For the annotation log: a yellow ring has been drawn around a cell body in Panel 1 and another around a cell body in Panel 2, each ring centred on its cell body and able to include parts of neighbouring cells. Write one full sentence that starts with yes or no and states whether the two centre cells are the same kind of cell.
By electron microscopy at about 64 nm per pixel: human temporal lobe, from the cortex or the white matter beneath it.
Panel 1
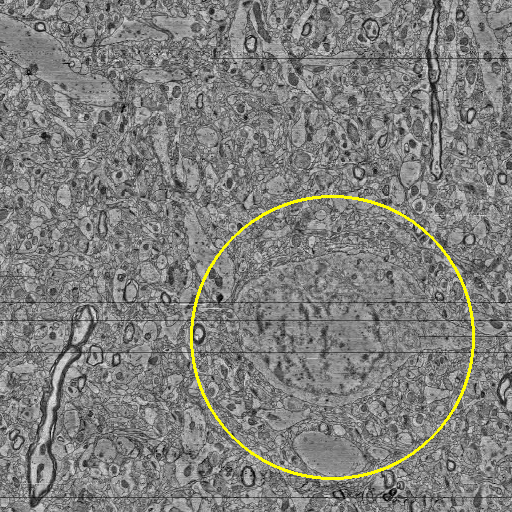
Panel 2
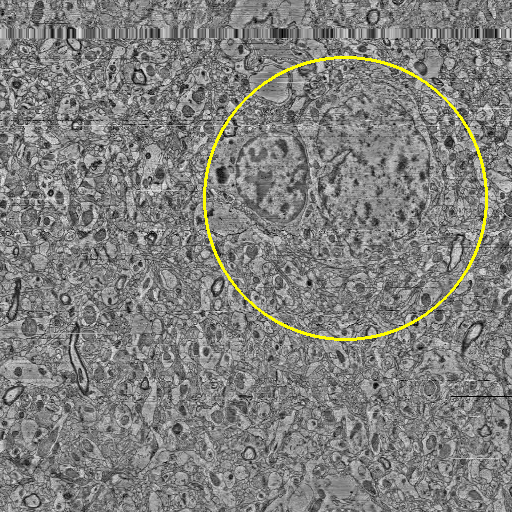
Yes, the two centre cells are the same kind of cell.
